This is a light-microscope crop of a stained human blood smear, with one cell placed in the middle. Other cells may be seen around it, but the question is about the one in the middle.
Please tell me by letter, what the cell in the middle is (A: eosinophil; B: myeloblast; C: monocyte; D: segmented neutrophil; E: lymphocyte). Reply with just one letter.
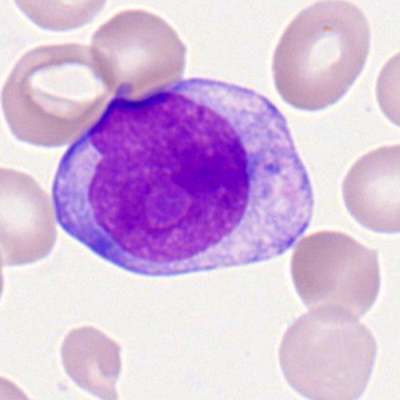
B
